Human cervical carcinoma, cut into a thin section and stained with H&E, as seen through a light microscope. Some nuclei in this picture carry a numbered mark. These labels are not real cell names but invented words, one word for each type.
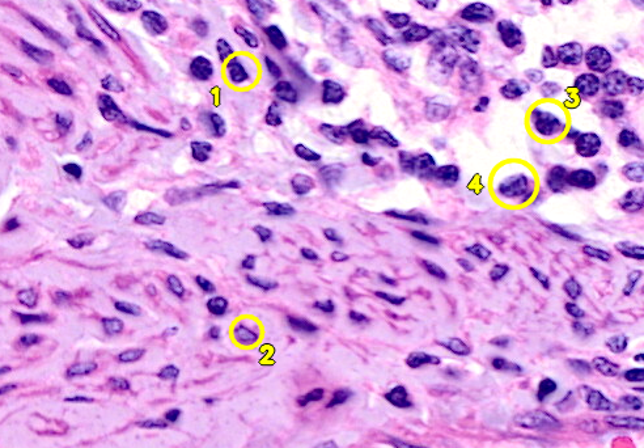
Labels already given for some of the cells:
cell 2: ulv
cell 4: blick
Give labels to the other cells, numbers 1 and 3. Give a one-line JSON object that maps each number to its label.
{"1": "blick", "3": "blick"}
